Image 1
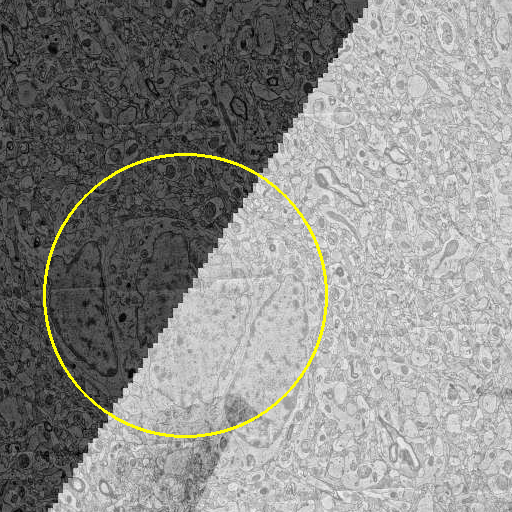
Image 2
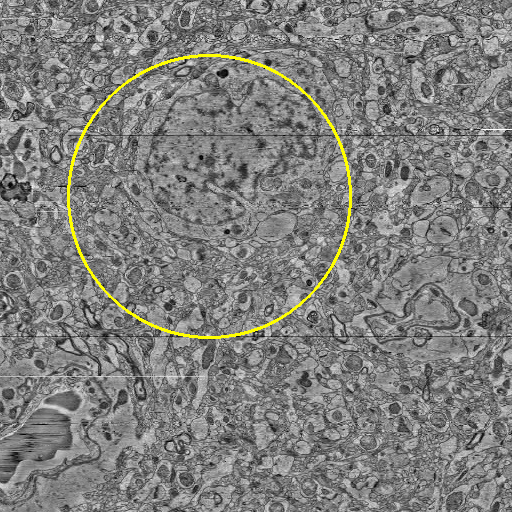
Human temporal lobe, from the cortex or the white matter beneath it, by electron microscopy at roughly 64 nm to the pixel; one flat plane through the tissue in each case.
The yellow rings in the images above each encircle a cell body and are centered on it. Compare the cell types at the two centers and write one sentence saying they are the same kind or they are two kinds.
Taken together, the two cells at the ring centers are the same kind.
